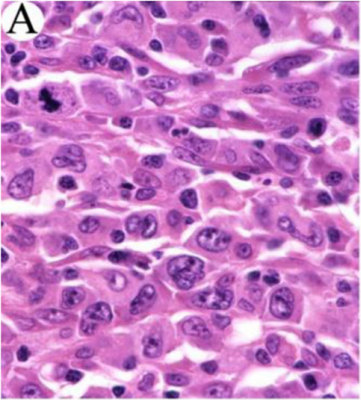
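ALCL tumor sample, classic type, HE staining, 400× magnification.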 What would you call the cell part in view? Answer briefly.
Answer: prominent nucleoli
